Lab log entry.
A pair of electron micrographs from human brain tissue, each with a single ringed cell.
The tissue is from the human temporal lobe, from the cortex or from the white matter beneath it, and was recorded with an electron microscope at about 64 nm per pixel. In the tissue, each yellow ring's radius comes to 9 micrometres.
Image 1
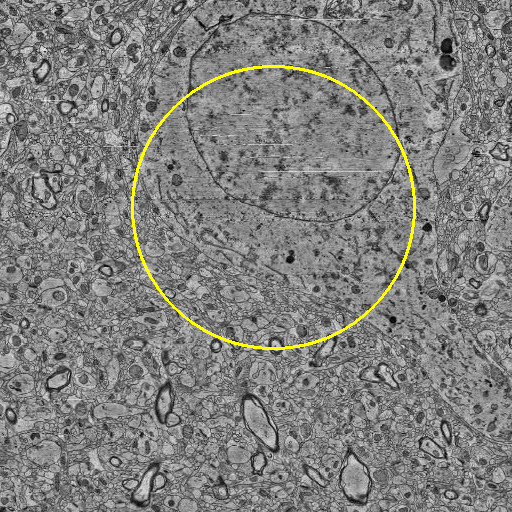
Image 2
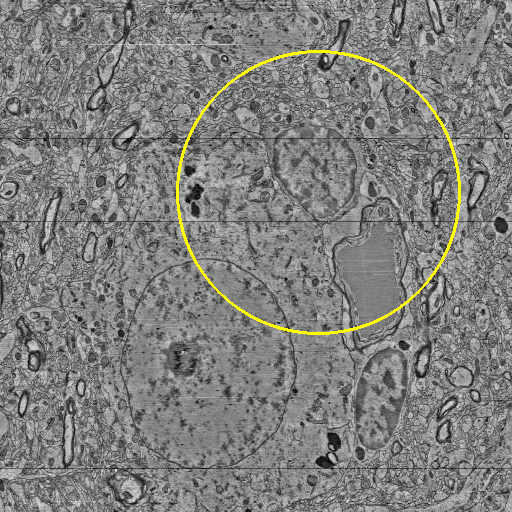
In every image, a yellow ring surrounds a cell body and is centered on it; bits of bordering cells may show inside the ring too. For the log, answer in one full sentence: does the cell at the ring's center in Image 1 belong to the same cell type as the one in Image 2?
No, the cells at the ring centers in Image 1 and Image 2 are of separate types.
